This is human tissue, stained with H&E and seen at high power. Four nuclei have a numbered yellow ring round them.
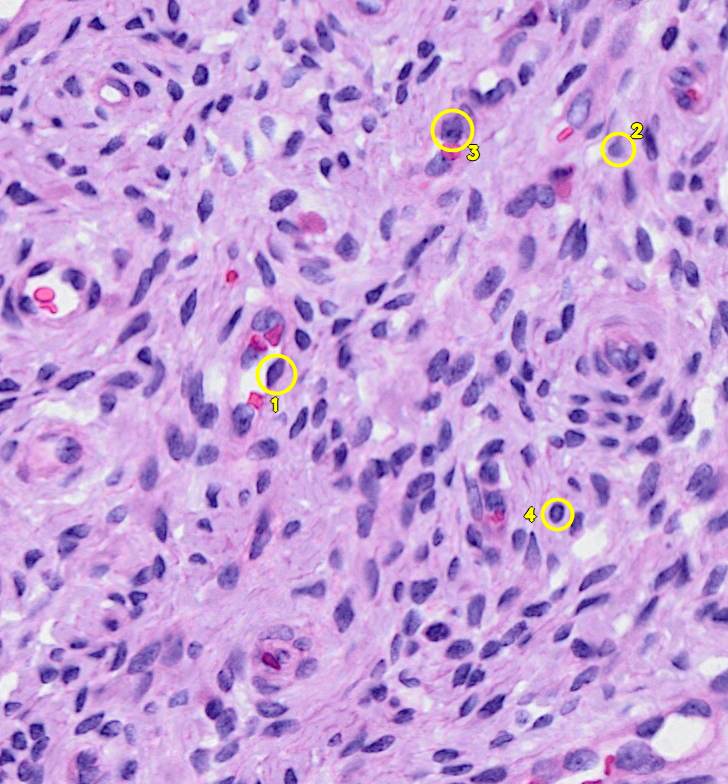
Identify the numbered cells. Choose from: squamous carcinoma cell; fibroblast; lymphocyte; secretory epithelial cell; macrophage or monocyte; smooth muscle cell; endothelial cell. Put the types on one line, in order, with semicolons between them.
endothelial cell; fibroblast; endothelial cell; fibroblast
